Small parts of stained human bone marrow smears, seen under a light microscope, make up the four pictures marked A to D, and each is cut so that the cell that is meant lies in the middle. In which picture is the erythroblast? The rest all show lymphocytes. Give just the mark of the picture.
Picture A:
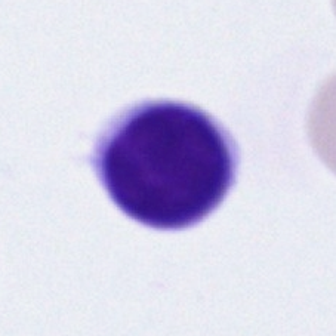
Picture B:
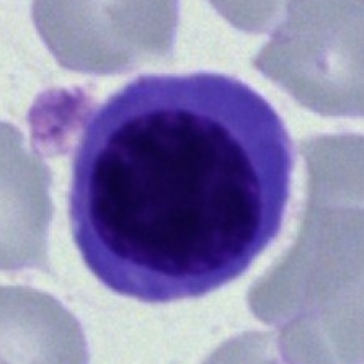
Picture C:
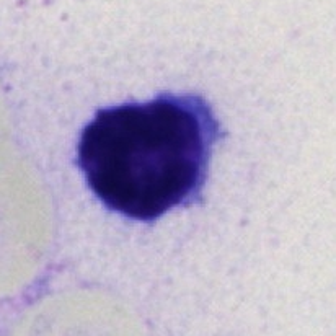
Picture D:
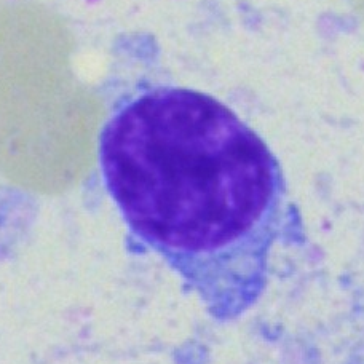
B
